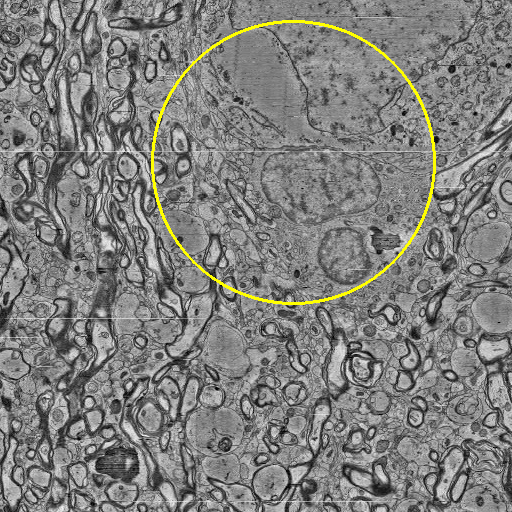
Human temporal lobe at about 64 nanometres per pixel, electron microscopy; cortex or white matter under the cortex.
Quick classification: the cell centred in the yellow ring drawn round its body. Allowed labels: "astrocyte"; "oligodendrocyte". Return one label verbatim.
oligodendrocyte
